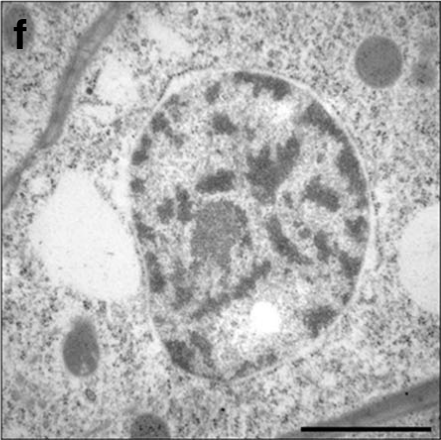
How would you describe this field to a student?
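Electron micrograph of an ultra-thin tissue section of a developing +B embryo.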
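The oval body is bounded all round by a smooth, continuous envelope that separates it cleanly from the granular cytoplasm. Inside, the chromatin forms dark, branching strands and patches with plenty of paler, loosely textured material between them, so the interior looks fairly open rather than packed. Around it lie round grey organelles and pale vacuole-like spaces, and a cell wall crosses the upper left corner of the field.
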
